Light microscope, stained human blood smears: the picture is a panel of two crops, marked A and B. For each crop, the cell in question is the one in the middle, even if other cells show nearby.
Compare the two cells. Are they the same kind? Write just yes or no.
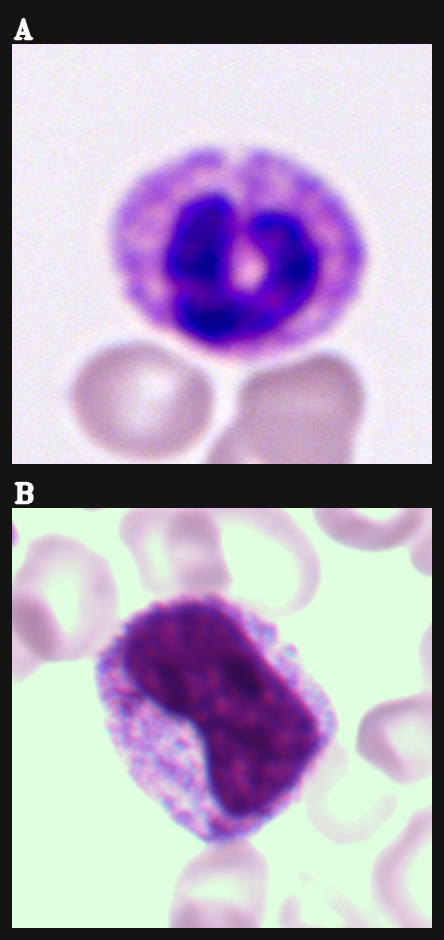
yes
